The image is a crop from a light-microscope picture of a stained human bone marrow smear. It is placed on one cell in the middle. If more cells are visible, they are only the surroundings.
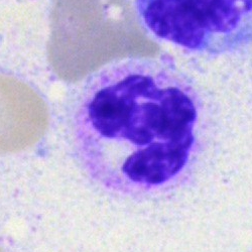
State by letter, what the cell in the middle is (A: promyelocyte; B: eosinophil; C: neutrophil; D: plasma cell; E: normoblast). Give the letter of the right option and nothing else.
C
